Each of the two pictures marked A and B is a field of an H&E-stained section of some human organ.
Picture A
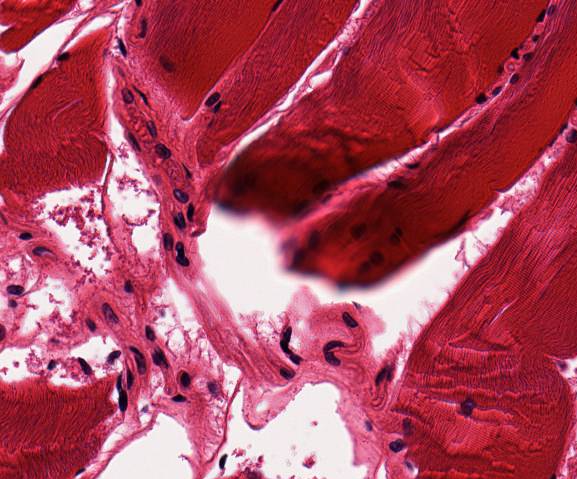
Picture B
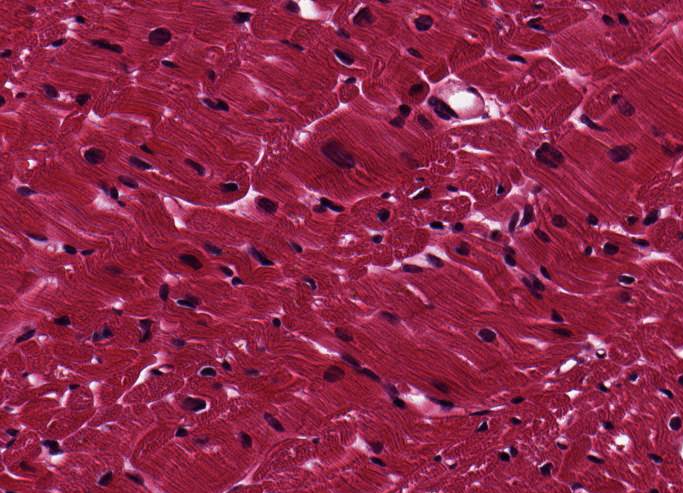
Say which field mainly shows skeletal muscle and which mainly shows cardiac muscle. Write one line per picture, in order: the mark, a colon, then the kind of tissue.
A: skeletal muscle
B: cardiac muscle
